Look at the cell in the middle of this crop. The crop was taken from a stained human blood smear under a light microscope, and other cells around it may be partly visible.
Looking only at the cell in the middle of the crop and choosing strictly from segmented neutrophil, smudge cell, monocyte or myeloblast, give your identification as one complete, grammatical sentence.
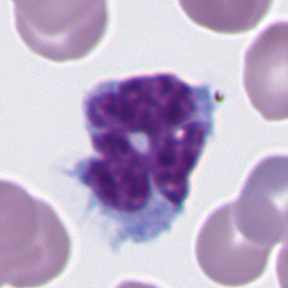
Occupying the centre of the crop is a monocyte.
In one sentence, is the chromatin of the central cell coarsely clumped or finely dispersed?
One feature to record is coarsely clumped chromatin.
